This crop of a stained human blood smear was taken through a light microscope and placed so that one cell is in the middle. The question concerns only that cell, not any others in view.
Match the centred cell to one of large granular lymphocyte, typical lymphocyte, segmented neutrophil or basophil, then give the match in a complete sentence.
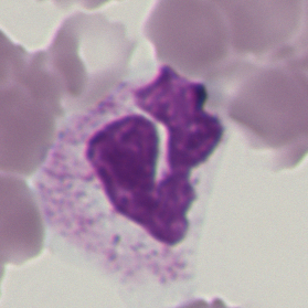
Within this crop, a segmented neutrophil occupies the central position.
